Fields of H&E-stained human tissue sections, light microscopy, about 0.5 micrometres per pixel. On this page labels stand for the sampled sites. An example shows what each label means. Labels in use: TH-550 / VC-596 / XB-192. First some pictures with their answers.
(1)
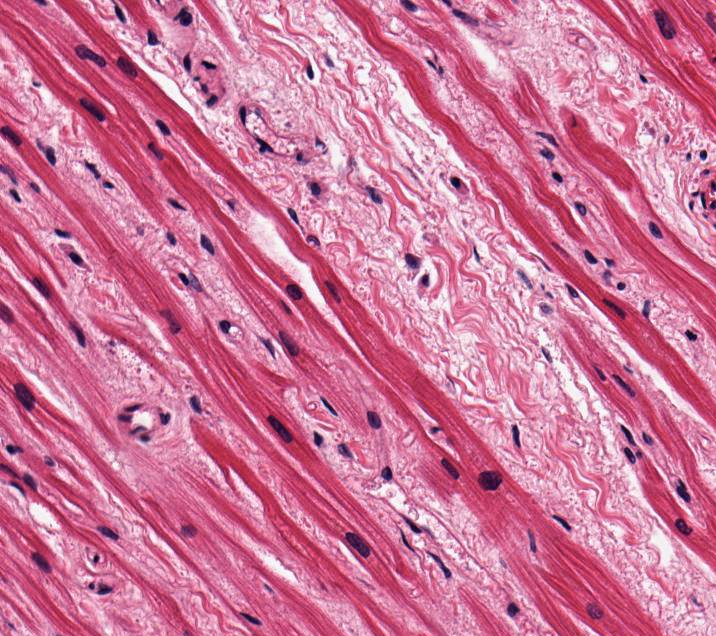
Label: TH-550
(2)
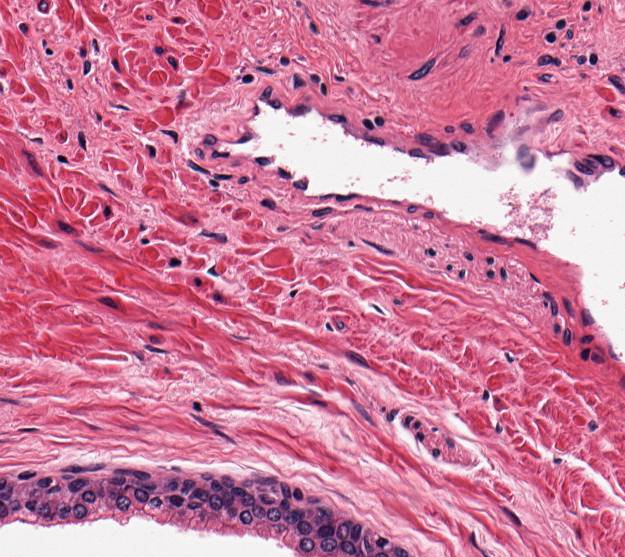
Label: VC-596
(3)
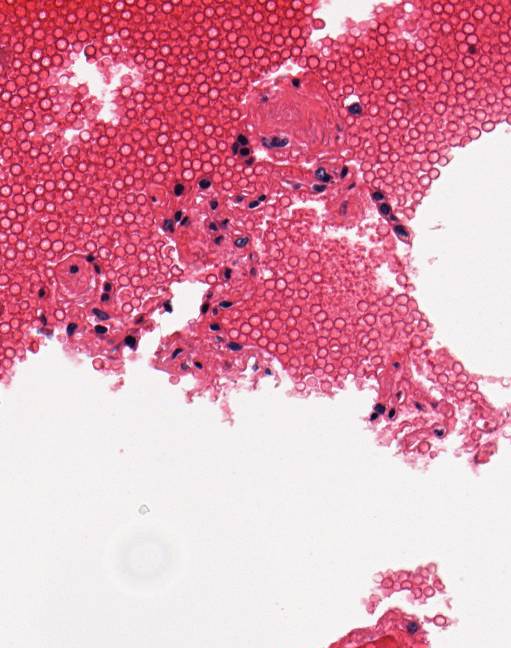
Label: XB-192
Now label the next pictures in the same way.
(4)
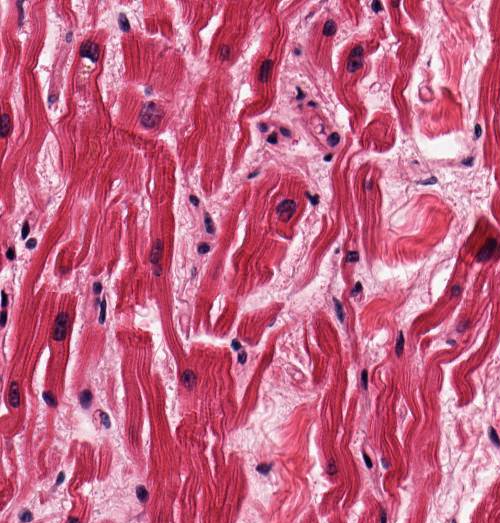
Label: TH-550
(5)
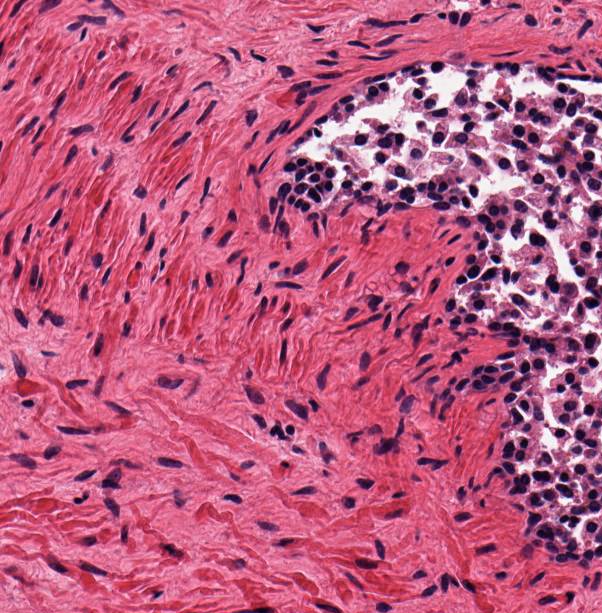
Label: VC-596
